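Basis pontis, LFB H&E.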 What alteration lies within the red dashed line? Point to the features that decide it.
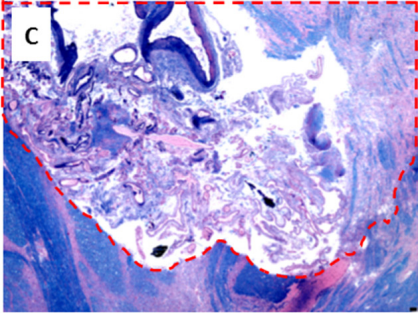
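Inside the dashed line the tissue is loose, fragmented and torn apart. Outside the line the tissue is compact and stained blue.
Devastating lesion.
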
